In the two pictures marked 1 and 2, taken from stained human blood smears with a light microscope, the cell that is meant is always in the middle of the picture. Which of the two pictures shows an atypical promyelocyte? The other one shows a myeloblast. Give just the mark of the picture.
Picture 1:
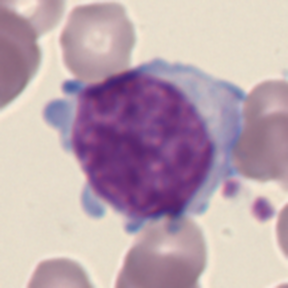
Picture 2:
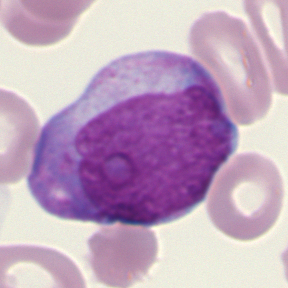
2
